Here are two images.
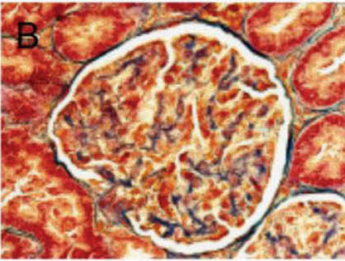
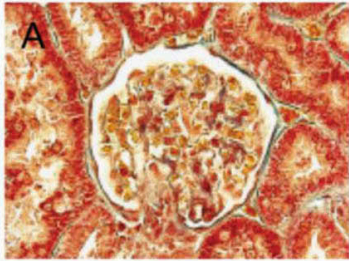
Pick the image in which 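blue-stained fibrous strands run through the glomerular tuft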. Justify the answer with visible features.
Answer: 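First image: many dark blue strands thread through the tuft and line the capsule.
The first image.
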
